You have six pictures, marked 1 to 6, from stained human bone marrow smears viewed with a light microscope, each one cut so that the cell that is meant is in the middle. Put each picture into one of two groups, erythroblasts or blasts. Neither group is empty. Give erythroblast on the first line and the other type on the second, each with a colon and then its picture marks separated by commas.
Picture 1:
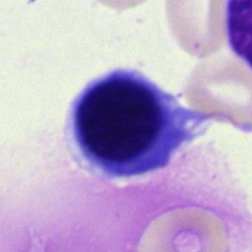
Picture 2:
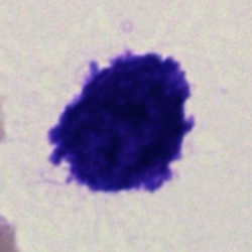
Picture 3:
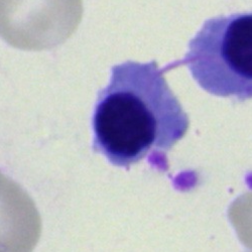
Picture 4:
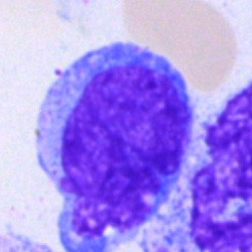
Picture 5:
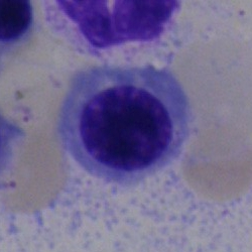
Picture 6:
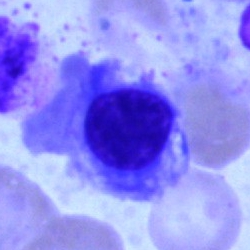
erythroblast: 1, 3, 5, 6
blast: 2, 4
